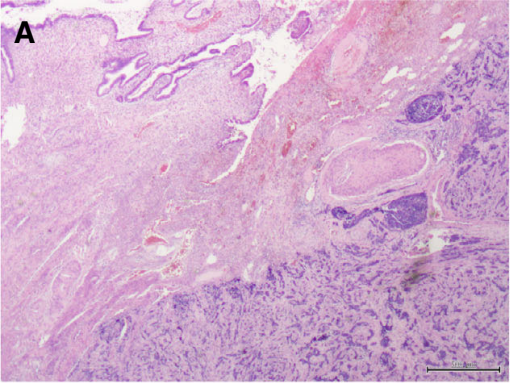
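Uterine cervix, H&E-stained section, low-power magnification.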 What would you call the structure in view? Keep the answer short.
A: Dense tumor masses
